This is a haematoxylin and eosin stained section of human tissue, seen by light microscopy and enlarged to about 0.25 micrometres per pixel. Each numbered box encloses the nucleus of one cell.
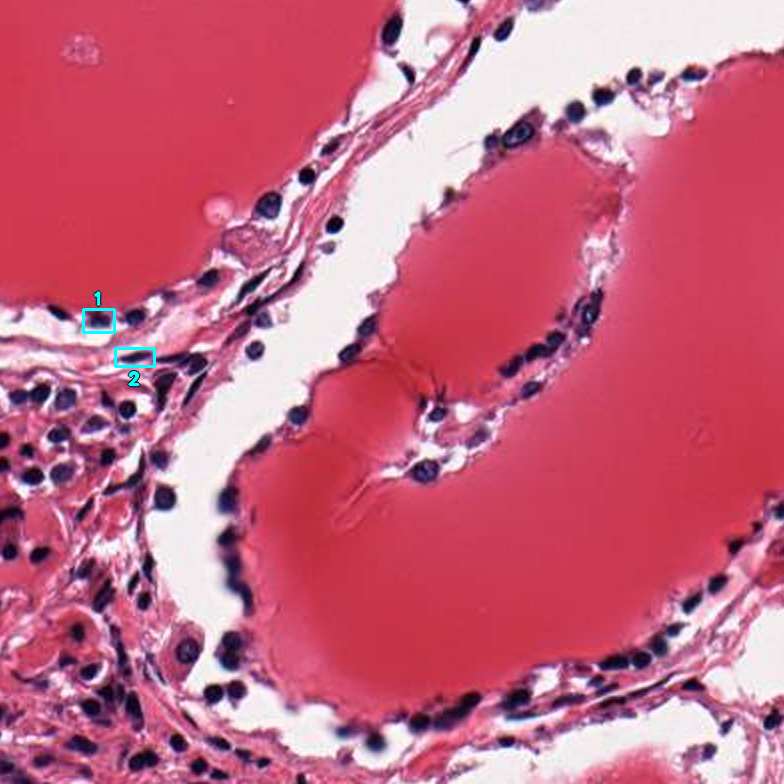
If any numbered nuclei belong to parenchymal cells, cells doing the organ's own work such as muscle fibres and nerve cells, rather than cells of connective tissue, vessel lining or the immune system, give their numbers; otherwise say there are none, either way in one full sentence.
The nucleus of a parenchymal cell, among those marked, is nucleus 1 alone.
